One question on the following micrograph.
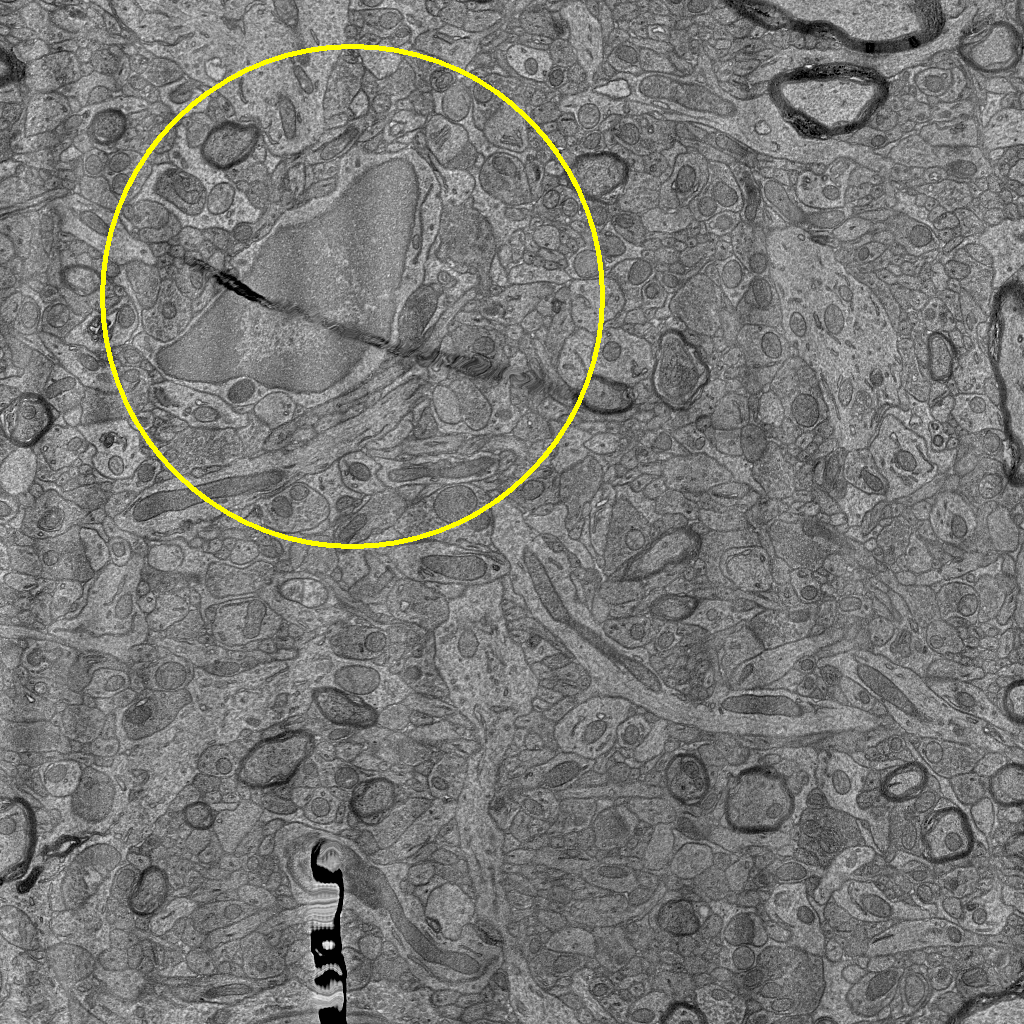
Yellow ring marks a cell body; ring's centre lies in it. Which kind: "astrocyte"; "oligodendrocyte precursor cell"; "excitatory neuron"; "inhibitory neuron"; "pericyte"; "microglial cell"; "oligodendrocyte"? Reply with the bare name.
microglial cell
